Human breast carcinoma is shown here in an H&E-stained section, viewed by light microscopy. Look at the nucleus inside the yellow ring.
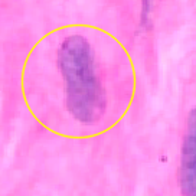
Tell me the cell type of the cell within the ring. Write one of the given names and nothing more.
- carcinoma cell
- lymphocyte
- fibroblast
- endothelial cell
fibroblast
